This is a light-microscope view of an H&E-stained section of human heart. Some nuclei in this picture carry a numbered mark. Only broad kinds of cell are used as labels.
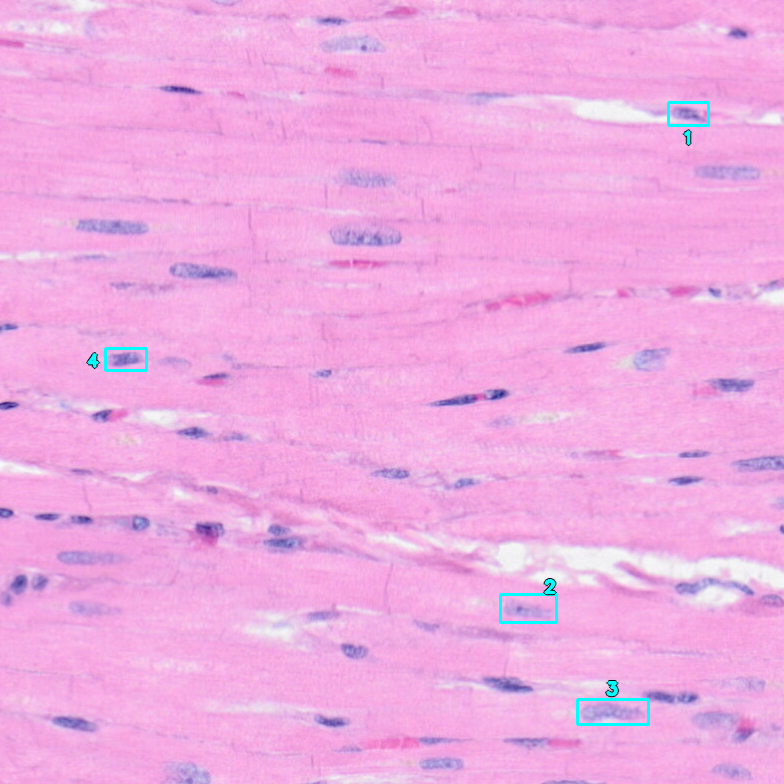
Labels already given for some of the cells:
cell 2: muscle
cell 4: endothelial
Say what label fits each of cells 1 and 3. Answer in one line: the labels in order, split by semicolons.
endothelial; muscle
